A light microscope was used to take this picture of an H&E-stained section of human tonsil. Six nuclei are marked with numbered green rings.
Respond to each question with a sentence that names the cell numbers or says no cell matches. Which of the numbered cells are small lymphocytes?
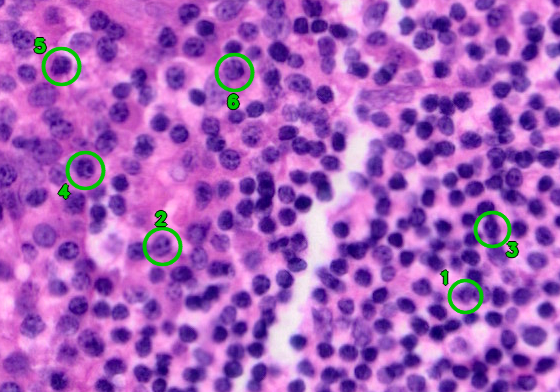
To be specific, the cells numbered 1 and 3 are small lymphocytes.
